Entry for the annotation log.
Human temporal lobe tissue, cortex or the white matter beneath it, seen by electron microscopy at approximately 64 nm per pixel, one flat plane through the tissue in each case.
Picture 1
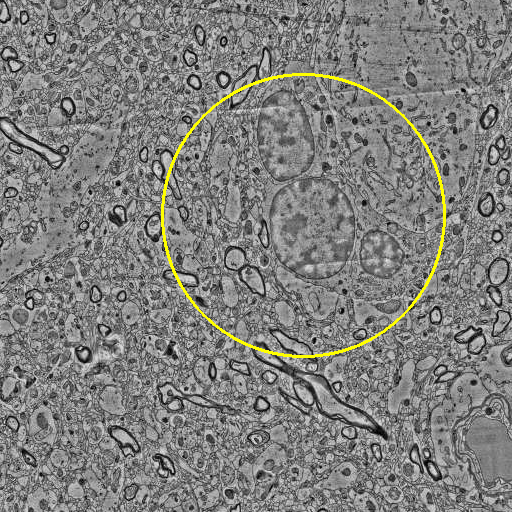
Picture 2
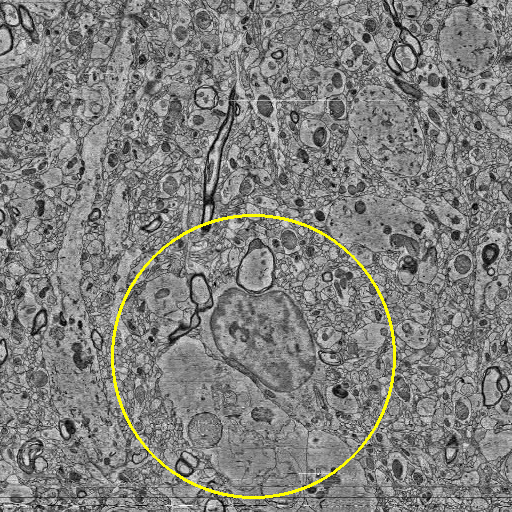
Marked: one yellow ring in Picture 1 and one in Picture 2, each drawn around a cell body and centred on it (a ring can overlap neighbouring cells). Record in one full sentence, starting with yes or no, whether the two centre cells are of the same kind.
Yes, both cells are of the same kind.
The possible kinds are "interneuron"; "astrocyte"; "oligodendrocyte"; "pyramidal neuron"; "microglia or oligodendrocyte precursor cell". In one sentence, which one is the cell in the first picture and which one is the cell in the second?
Both rings mark an oligodendrocyte, one in each picture.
